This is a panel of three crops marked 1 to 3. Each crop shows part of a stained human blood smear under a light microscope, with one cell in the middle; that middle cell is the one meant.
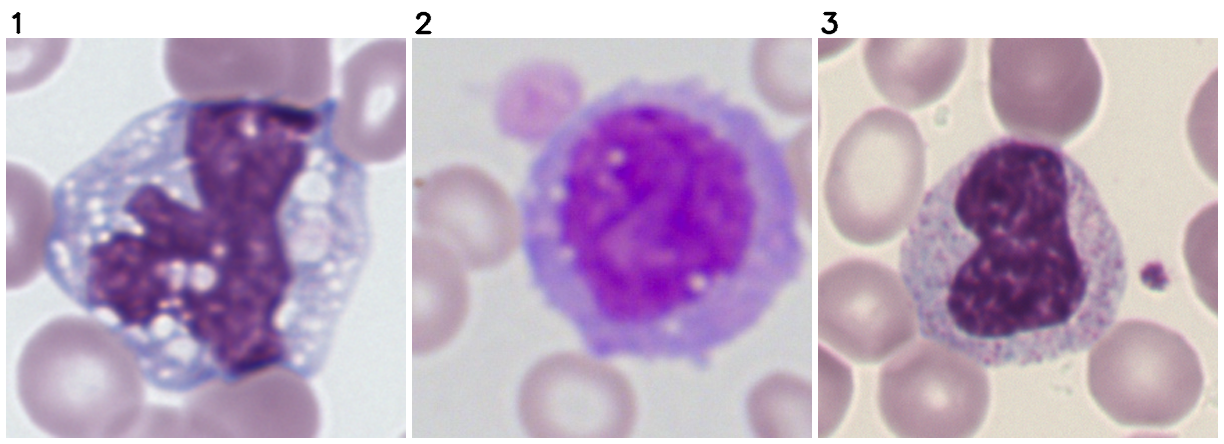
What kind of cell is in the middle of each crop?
1: monocyte
2: monocyte
3: band neutrophil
